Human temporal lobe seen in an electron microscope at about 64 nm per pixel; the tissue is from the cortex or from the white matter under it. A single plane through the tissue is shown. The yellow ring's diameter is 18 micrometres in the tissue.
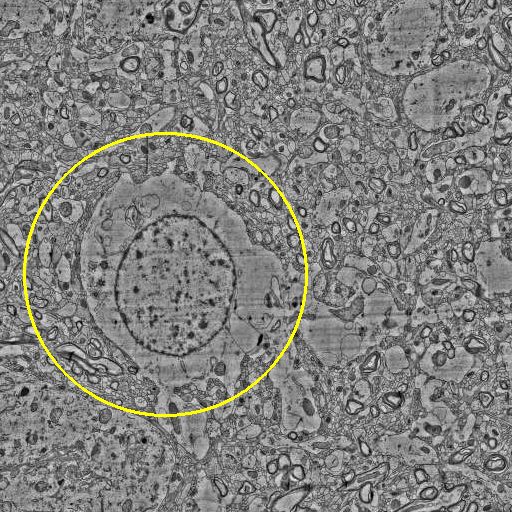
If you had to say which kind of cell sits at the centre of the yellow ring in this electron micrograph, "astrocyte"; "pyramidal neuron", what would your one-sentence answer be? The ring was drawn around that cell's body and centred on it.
The cell sitting at the centre of the ring is an astrocyte.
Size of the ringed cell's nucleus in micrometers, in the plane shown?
Approximately 9 micrometres long and 8 micrometres wide, in this plane.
